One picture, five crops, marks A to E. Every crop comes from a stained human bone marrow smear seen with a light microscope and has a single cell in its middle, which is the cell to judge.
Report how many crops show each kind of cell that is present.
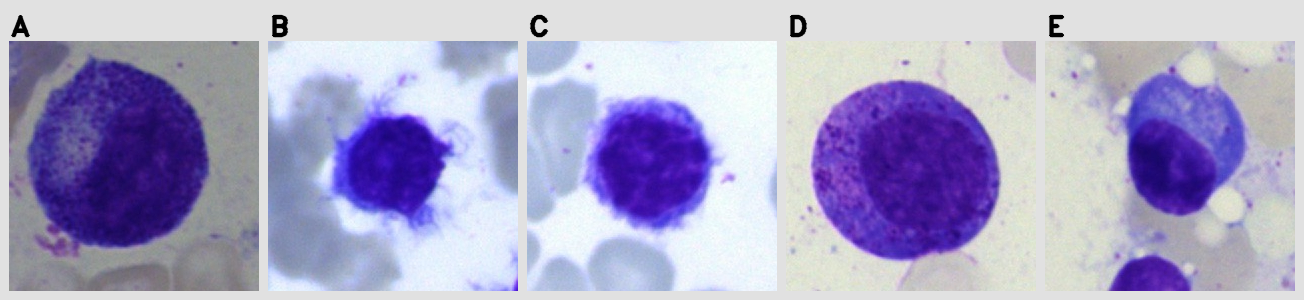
promyelocyte: 2
hairy cell: 2
plasma cell: 1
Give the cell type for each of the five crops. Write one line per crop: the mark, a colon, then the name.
A: promyelocyte
B: hairy cell
C: hairy cell
D: promyelocyte
E: plasma cell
